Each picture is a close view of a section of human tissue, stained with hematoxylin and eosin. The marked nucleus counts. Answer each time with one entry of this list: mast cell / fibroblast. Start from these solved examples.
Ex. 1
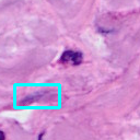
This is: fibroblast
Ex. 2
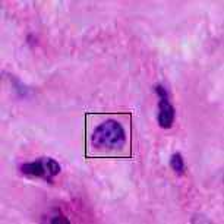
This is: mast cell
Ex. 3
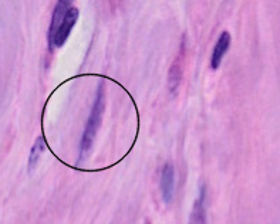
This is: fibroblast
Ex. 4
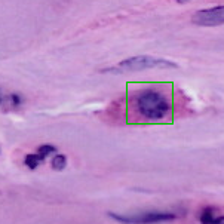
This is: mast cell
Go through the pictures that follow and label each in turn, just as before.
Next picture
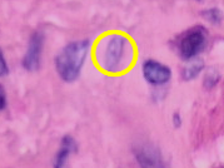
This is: fibroblast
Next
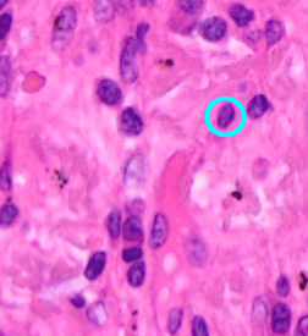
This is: mast cell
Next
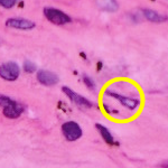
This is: fibroblast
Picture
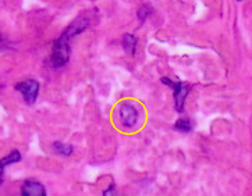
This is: mast cell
